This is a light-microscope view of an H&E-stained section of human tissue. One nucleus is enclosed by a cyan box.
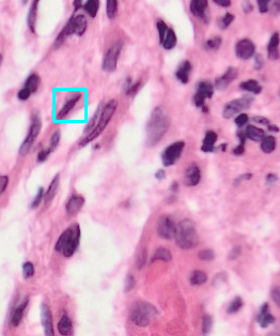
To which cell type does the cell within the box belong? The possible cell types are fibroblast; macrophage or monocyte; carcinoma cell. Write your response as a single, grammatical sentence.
In this field of tissue, the cell within the box is a fibroblast.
